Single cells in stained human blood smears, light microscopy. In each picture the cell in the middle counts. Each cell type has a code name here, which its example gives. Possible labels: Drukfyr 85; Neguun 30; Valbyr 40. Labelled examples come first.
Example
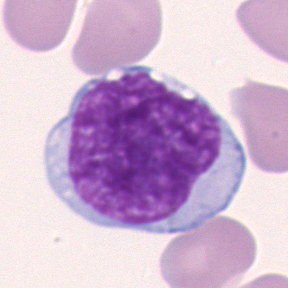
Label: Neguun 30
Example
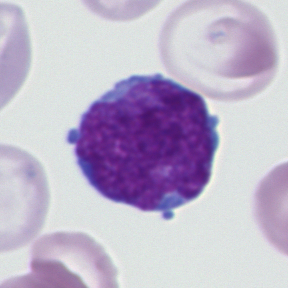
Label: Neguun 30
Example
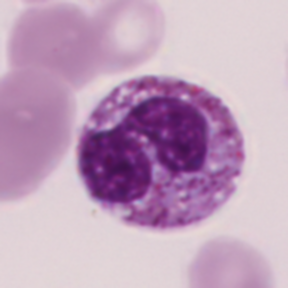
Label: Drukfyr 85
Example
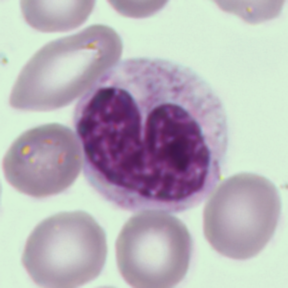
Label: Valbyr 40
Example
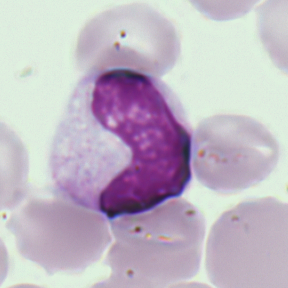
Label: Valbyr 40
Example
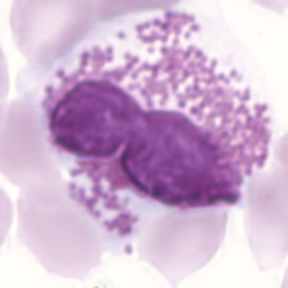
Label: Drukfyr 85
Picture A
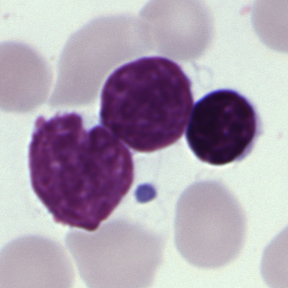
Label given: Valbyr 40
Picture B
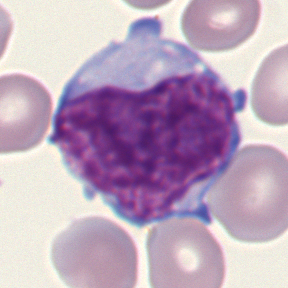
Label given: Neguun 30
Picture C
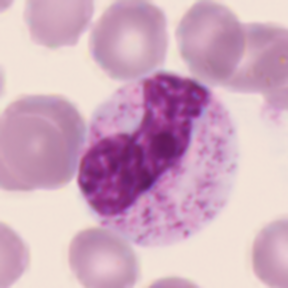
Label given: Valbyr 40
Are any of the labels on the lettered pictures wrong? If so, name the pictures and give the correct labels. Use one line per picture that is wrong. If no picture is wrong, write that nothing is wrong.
A: Neguun 30, not Valbyr 40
